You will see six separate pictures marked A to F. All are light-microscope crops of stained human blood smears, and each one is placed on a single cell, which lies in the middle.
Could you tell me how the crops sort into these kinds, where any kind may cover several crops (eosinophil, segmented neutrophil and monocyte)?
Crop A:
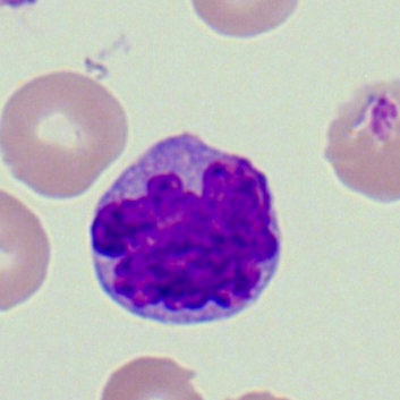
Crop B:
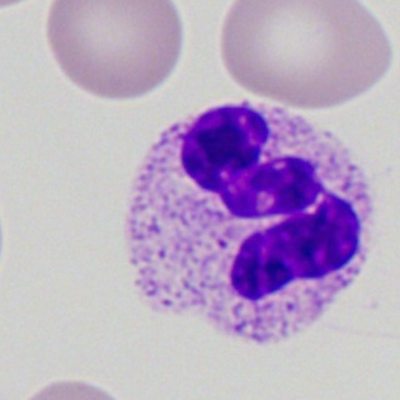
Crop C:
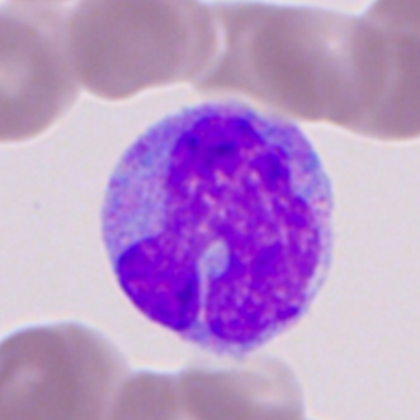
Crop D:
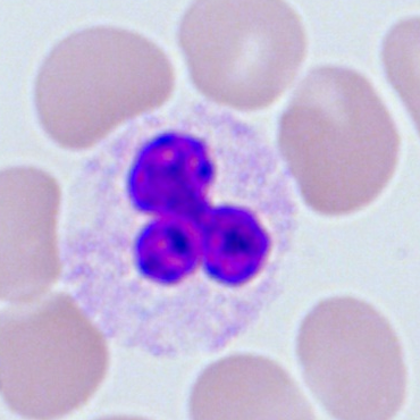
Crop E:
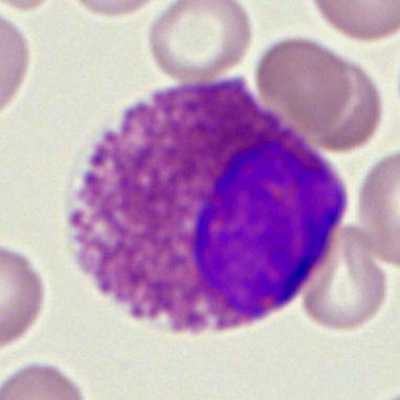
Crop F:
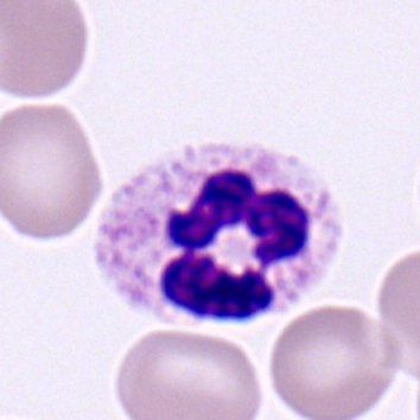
A: monocyte
B: segmented neutrophil
C: monocyte
D: segmented neutrophil
E: eosinophil
F: segmented neutrophil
